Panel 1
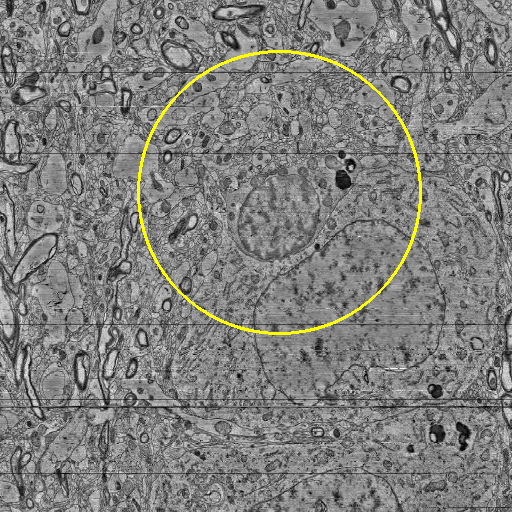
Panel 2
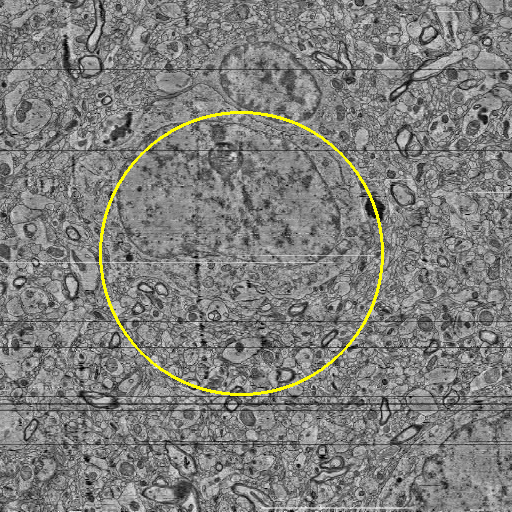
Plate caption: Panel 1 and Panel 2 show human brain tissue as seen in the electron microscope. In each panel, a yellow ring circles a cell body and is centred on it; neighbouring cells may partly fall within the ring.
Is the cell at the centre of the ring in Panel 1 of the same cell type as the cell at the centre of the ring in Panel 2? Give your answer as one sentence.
No, the two cells are of two types.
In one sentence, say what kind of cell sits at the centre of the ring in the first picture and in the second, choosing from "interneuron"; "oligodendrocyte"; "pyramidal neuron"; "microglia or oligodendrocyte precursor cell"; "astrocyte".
The first picture's ringed cell is an oligodendrocyte, while the second picture's is an interneuron.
